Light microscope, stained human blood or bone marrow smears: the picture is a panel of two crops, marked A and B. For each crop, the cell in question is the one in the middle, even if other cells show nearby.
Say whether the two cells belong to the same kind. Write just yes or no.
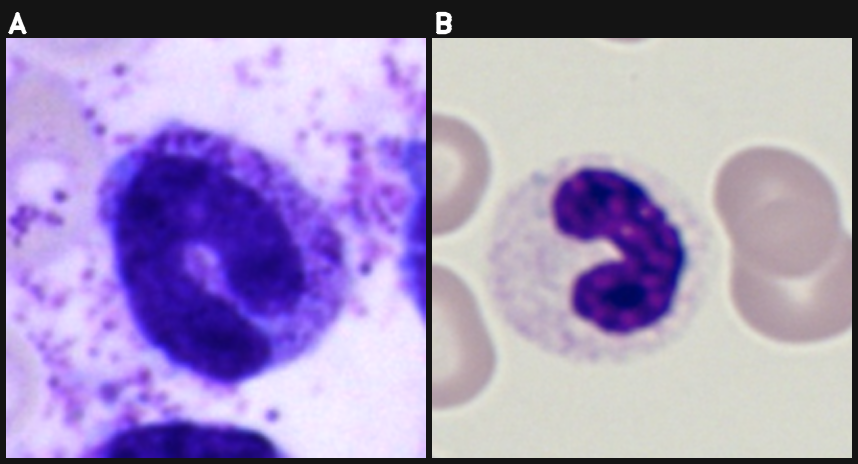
yes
